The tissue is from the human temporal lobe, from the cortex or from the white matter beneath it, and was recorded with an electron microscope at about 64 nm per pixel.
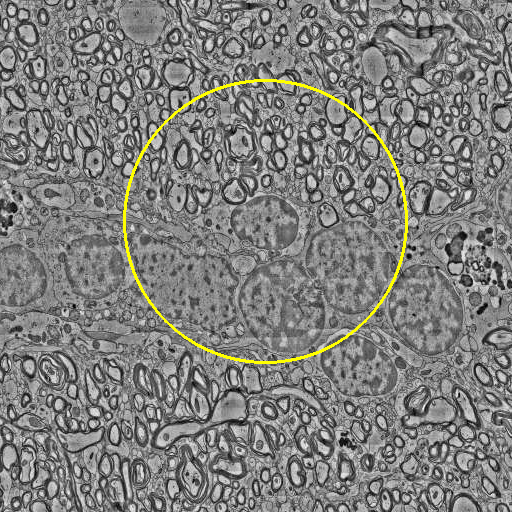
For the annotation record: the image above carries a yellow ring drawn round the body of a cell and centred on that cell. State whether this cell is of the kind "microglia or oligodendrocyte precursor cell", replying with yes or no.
Yes, this cell is of that kind.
